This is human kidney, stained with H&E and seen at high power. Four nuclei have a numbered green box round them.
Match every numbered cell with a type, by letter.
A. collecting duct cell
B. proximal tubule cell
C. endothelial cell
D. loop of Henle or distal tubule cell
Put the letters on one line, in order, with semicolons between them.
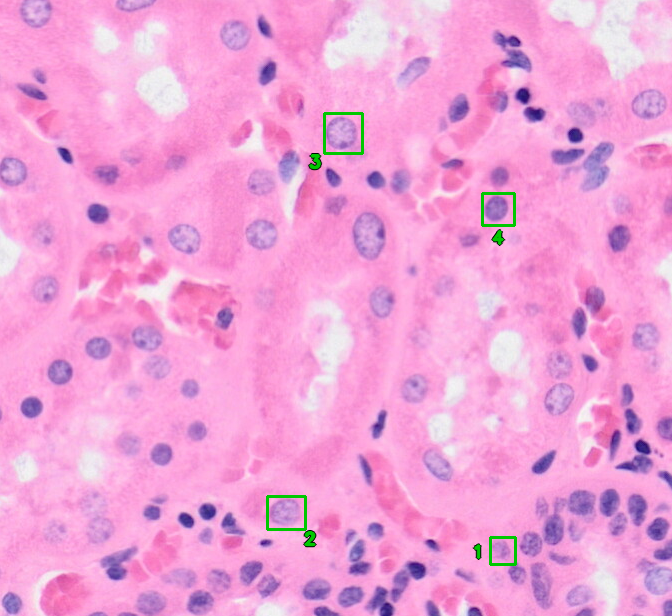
A; B; B; B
